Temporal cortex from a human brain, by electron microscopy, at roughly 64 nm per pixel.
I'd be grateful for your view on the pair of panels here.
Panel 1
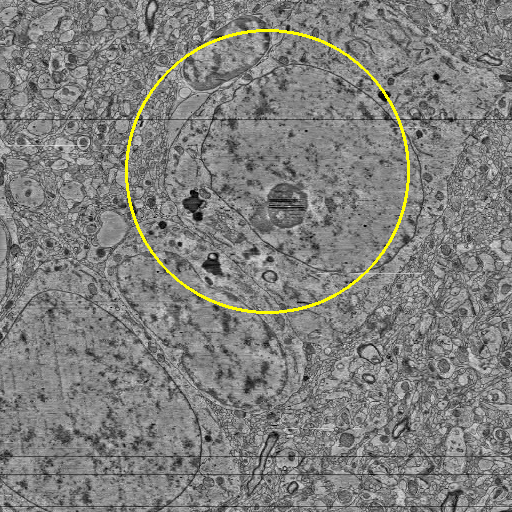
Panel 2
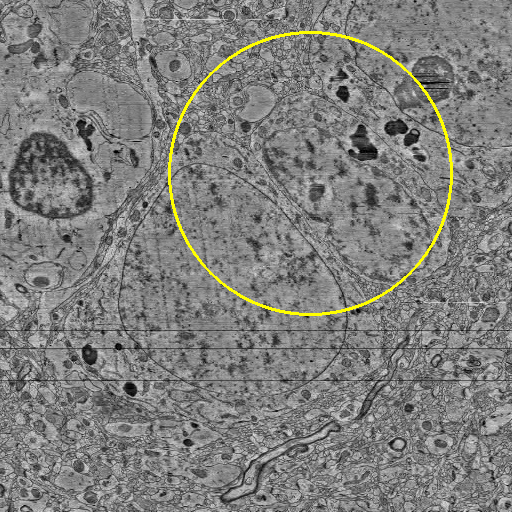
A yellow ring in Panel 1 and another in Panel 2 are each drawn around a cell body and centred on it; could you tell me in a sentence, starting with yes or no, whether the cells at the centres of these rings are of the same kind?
No, they are two kinds of cell.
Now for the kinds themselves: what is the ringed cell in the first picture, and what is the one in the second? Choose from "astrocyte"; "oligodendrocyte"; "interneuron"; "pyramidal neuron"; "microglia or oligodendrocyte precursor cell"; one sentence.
Here the first cell is a pyramidal neuron and the second cell is an interneuron.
